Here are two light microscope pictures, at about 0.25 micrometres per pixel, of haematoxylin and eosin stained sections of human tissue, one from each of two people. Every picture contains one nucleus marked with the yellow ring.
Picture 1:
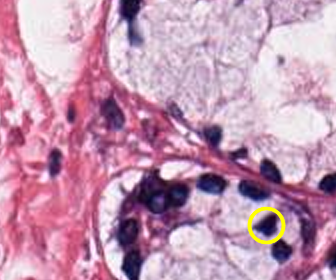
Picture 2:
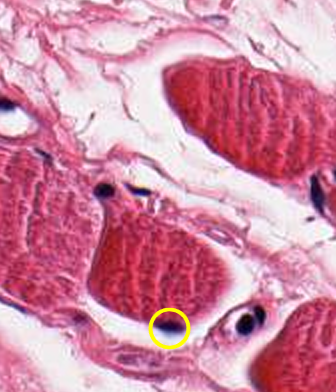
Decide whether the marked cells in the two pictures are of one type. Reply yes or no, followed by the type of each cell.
No, the first is a mucous gland cell and the second a skeletal muscle fibre.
